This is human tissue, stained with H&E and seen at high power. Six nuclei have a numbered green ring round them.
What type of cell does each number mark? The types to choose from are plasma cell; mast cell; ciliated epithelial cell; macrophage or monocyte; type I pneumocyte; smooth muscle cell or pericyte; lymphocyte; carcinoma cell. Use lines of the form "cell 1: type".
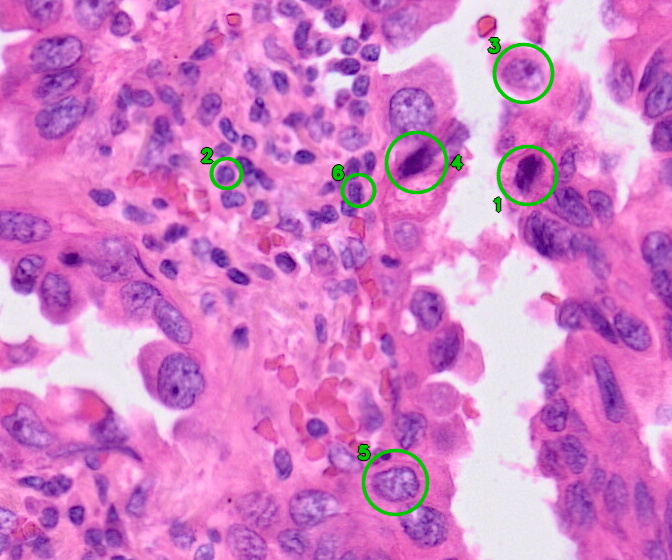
cell 1: carcinoma cell
cell 2: lymphocyte
cell 3: carcinoma cell
cell 4: carcinoma cell
cell 5: carcinoma cell
cell 6: lymphocyte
